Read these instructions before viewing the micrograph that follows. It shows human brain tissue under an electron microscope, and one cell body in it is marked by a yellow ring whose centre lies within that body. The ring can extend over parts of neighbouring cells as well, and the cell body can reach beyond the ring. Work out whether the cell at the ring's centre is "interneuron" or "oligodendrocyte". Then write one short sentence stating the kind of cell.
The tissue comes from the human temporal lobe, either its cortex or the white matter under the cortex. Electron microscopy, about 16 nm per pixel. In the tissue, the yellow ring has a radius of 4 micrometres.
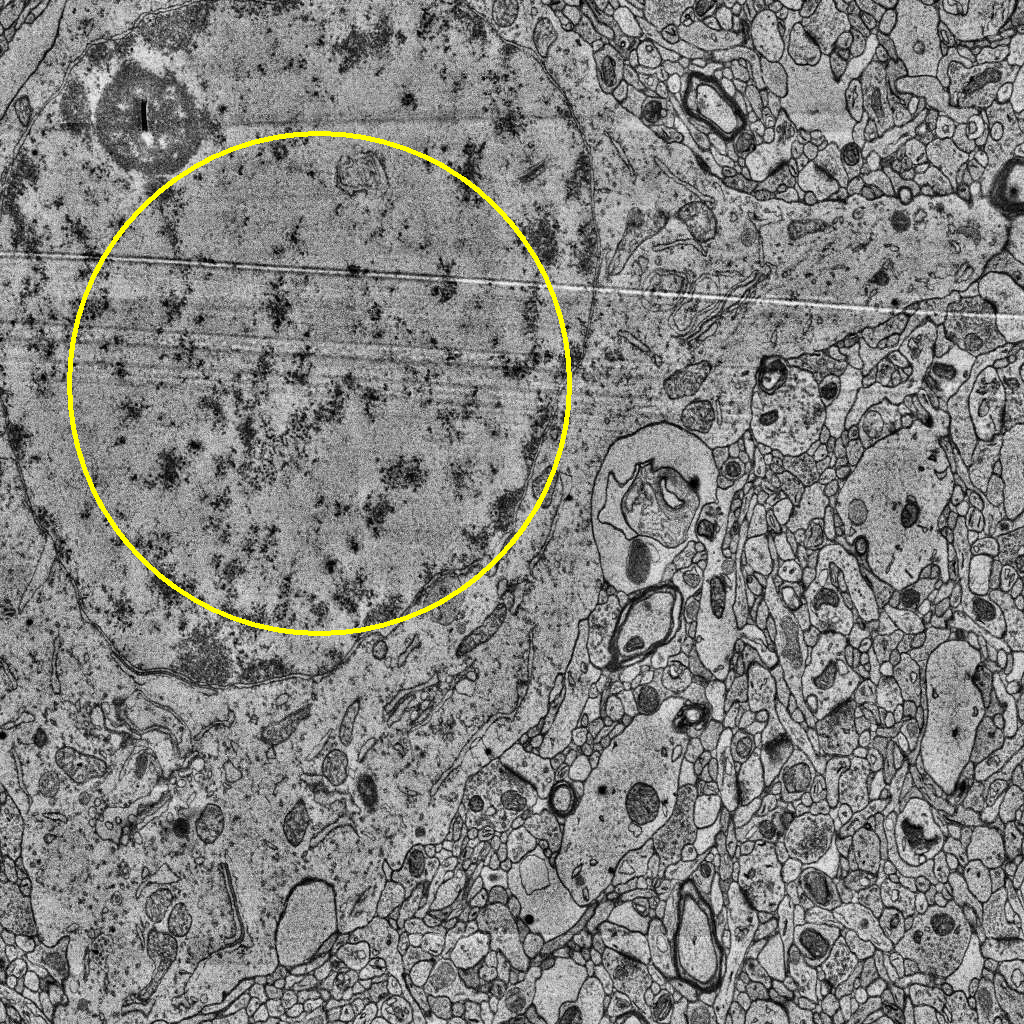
The cell at the ring's centre is an interneuron.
